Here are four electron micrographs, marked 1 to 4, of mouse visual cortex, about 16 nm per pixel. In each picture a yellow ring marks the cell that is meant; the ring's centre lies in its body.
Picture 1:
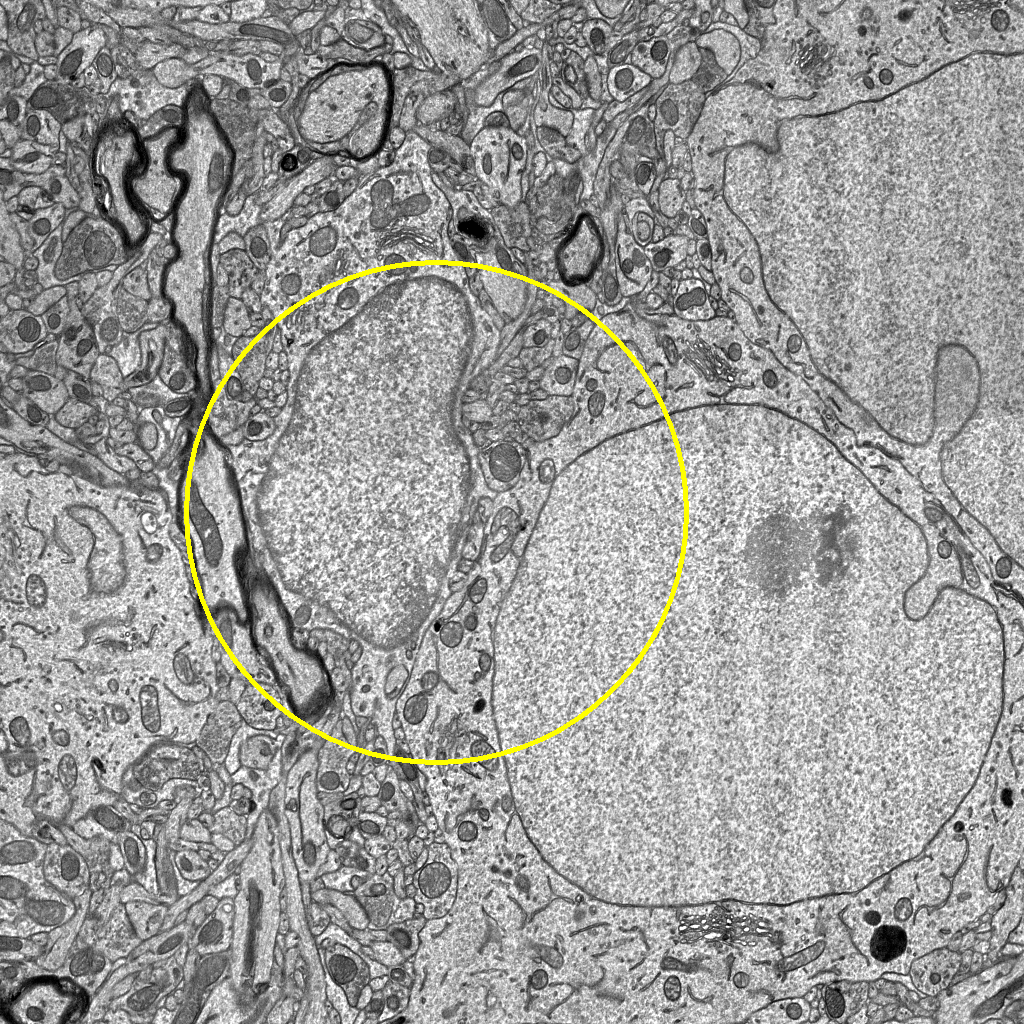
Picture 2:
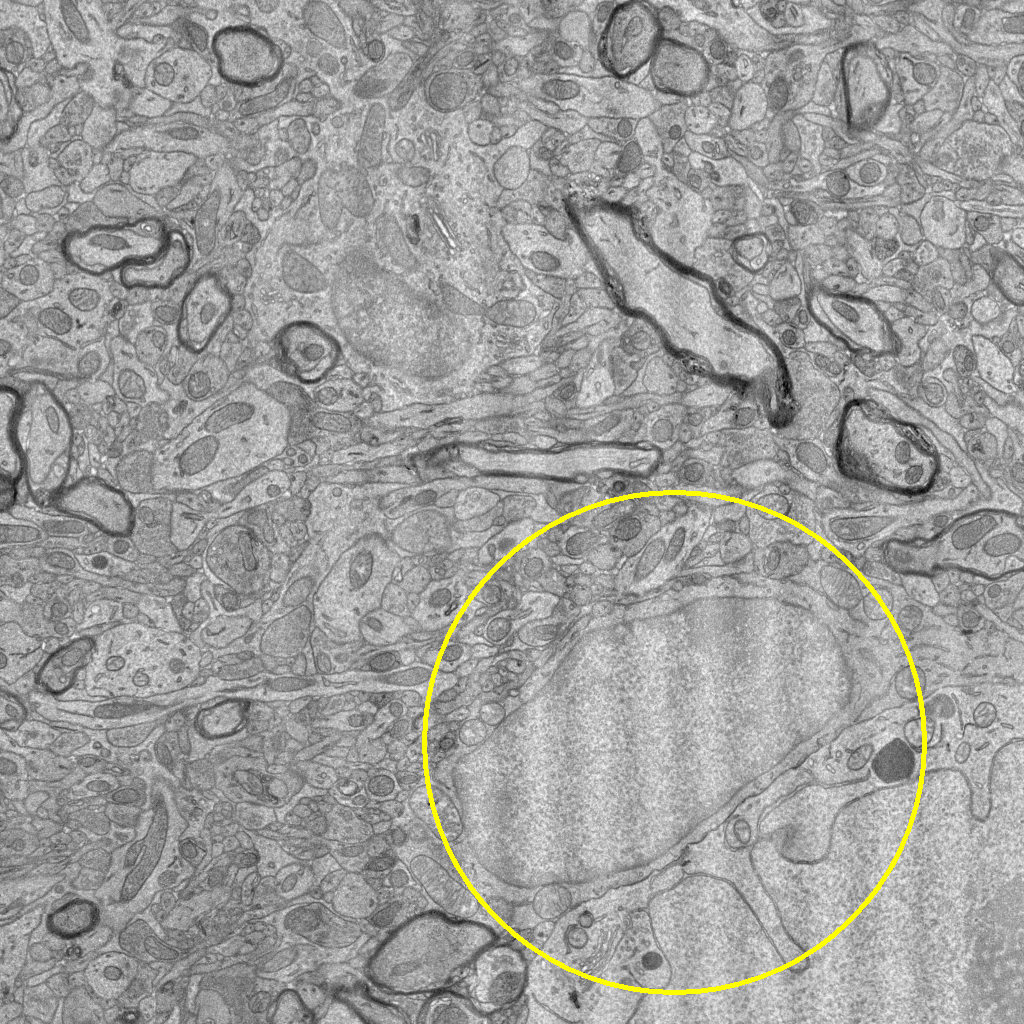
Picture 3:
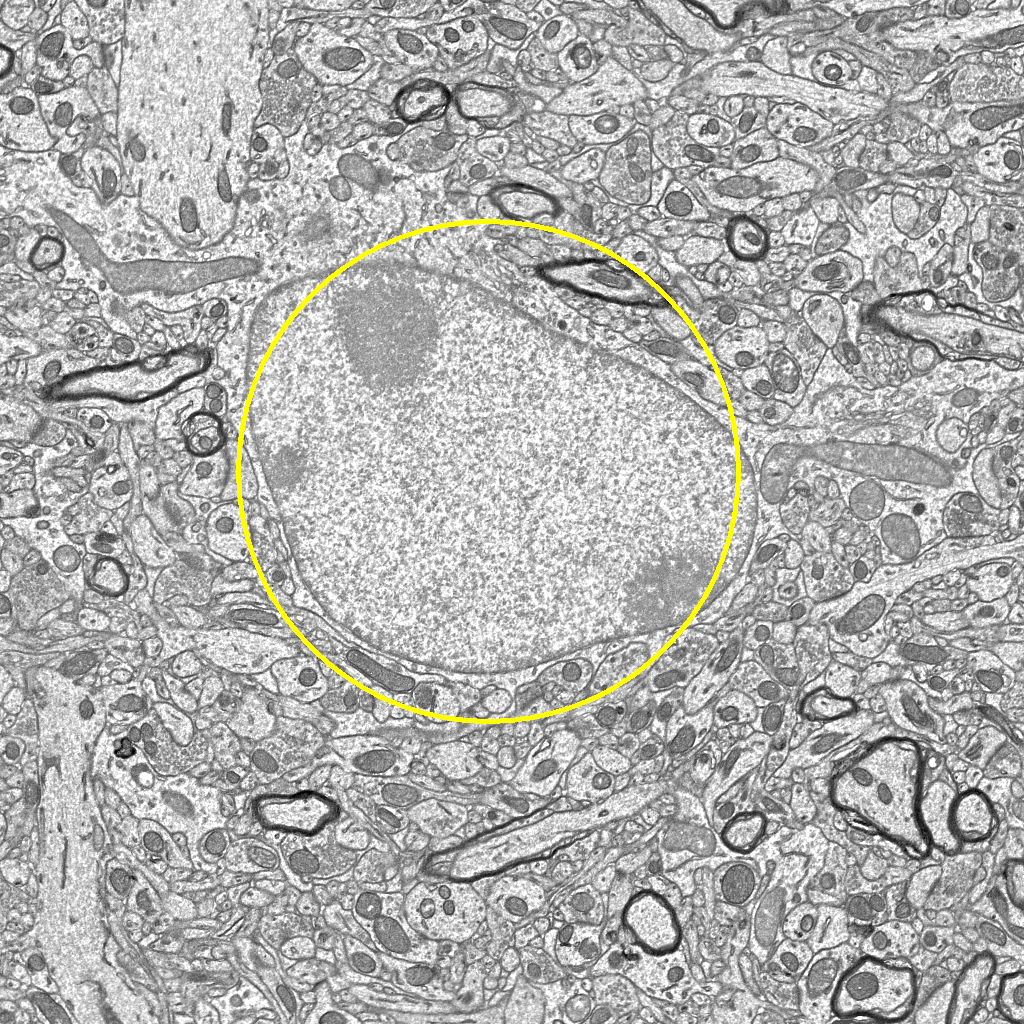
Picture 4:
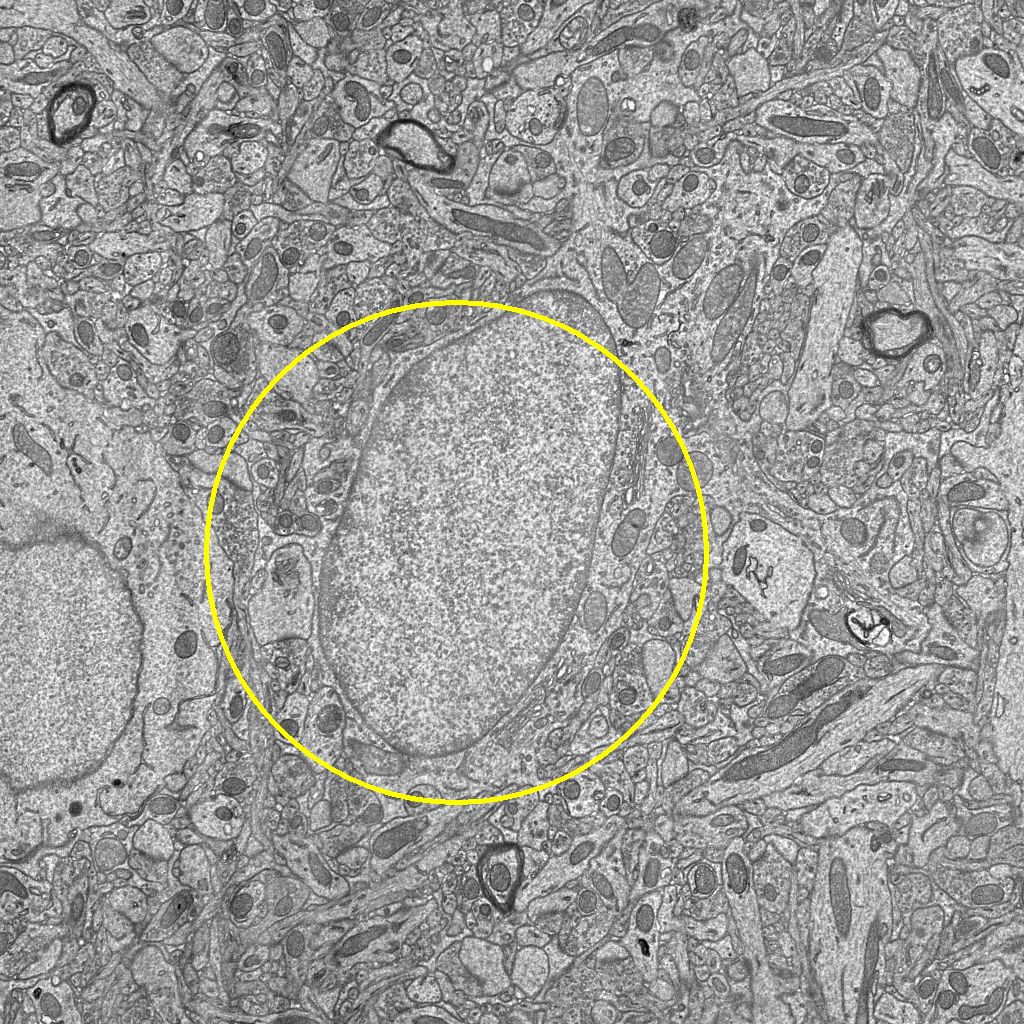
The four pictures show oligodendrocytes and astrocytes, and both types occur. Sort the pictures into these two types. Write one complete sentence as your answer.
Picture 2 shows an oligodendrocyte, while pictures 1, 3 and 4 show astrocytes.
